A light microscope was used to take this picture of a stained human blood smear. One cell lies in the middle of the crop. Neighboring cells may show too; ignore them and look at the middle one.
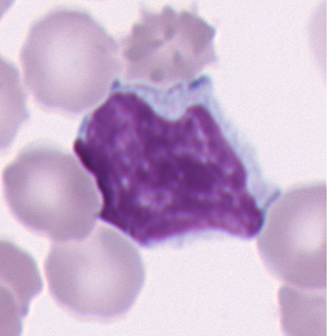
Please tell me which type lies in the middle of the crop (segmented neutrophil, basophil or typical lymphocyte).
typical lymphocyte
